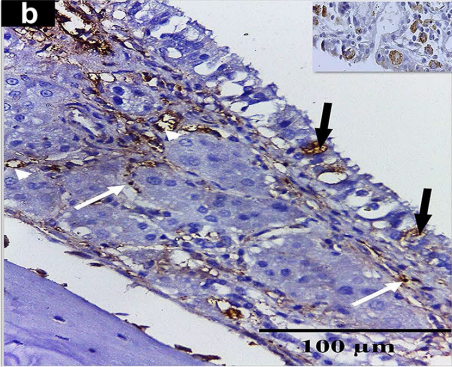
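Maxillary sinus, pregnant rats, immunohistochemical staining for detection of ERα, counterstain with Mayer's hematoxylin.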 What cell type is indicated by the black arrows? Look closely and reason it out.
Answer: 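The black arrows point to single brown-stained cells at the luminal surface of the epithelium. Pale vacuolated cells are scattered through the epithelial layer.
Goblet cells.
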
